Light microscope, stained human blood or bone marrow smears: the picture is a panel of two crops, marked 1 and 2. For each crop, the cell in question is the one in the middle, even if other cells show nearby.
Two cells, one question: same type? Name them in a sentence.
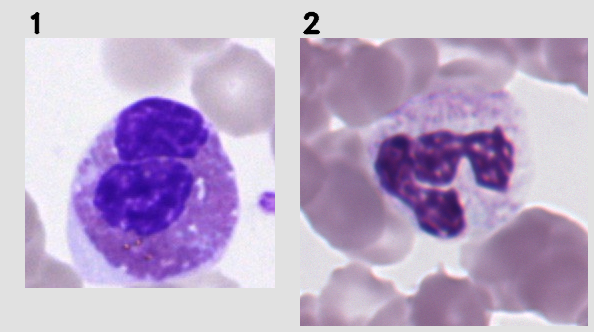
No, enter an eosinophil for crop 1 and a neutrophil for crop 2.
